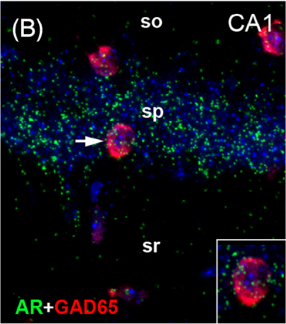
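A horizontal band of tightly packed cells with blue nuclei crosses the field, densely sprinkled with green dots; the layers above and below are sparse and nearly free of dots. A few round red cell bodies lie isolated, one within the band and others at its edges and in the layer below. The red fills a ring of cytoplasm around a dark round nucleus and carries several green dots, best seen in the enlarged inset.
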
